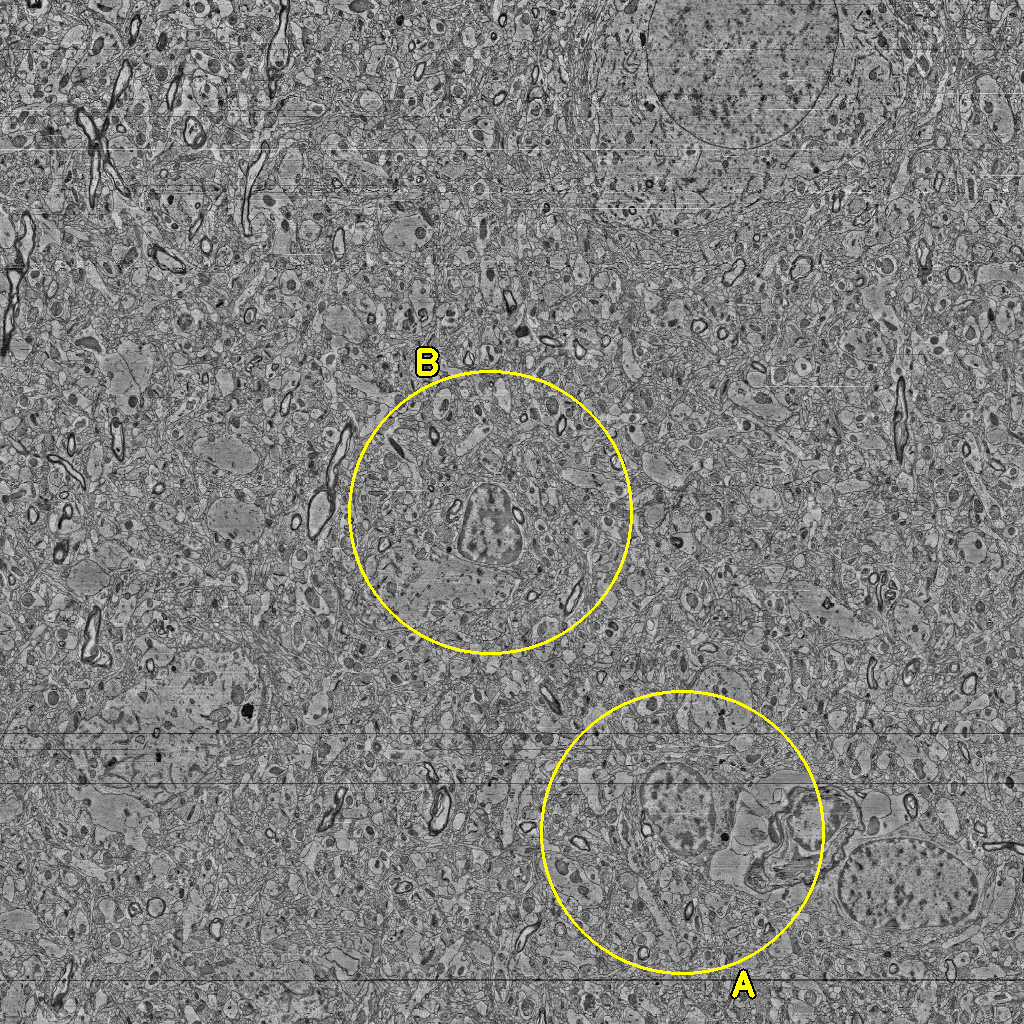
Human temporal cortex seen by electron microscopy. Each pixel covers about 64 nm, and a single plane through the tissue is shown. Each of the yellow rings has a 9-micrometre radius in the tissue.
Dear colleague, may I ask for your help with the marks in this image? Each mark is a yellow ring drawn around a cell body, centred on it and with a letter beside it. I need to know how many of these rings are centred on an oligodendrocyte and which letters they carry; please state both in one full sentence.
Of the lettered yellow rings, just one is centred on an oligodendrocyte, and its letter is A.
